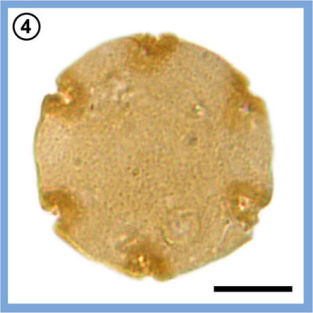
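Six short apertures are spaced evenly around the margin, each bordered by darker, thickened wall. The wall between them is thin and finely granulate.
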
